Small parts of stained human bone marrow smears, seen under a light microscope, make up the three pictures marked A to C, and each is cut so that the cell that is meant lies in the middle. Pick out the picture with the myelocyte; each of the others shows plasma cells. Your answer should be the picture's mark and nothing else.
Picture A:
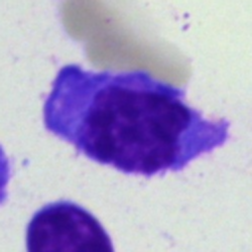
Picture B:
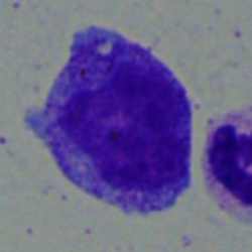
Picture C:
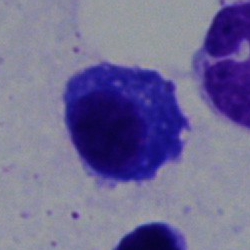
B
